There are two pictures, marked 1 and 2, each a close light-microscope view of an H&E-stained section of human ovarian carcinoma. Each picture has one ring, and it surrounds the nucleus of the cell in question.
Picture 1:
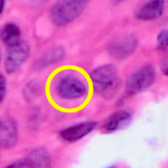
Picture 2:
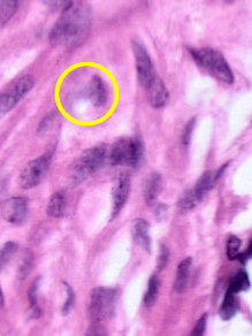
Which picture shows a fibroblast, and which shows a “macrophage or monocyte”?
1: macrophage or monocyte
2: fibroblast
